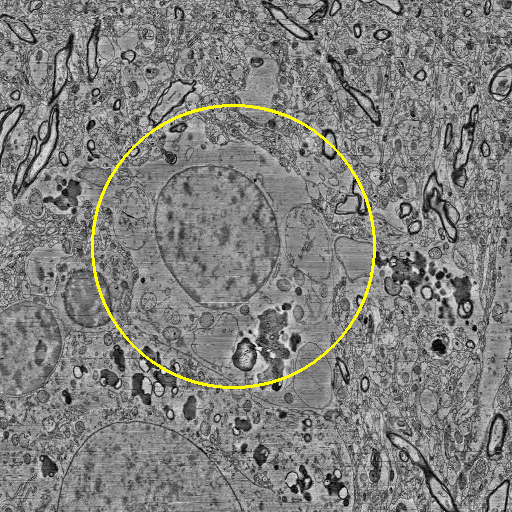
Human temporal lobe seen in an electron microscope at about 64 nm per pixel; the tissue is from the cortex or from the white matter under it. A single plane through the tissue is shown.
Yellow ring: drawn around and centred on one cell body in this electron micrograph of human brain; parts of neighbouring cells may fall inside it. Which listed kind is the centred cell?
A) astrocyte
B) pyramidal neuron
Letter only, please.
A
